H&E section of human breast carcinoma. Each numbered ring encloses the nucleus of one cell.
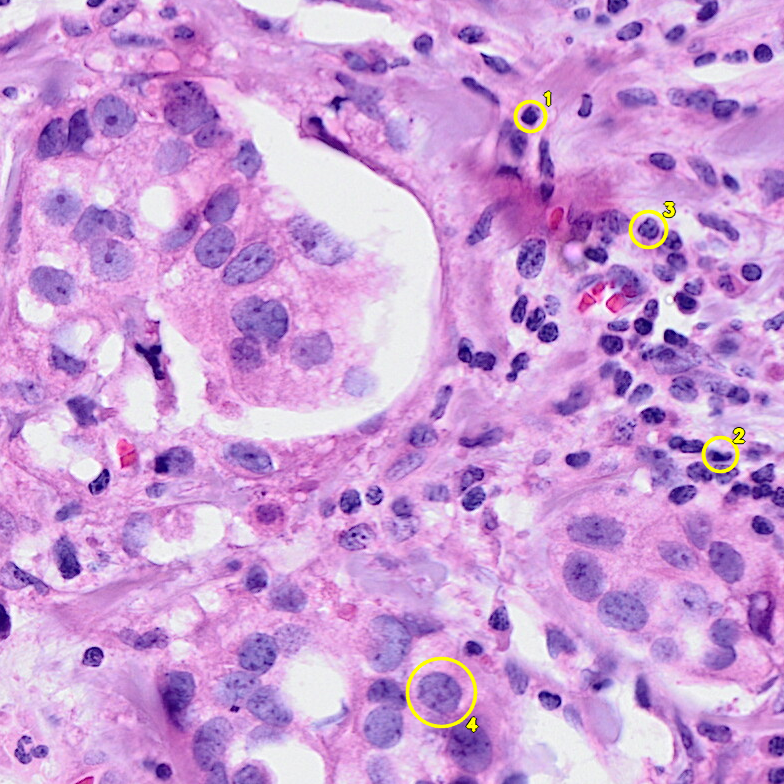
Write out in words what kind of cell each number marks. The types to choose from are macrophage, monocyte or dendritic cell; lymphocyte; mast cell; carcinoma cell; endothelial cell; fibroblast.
Cells 1, 2 and 3 are lymphocytes. Cell 4 is a carcinoma cell.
